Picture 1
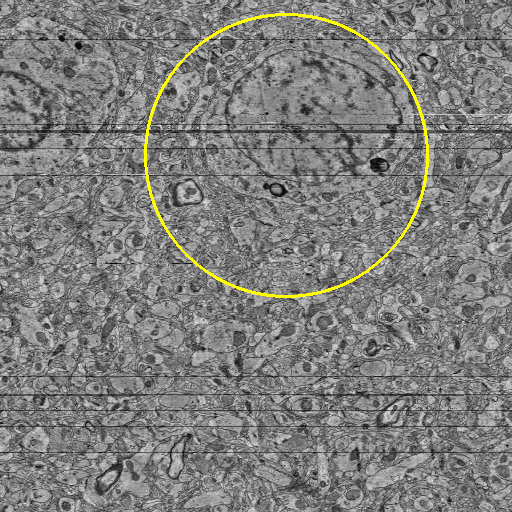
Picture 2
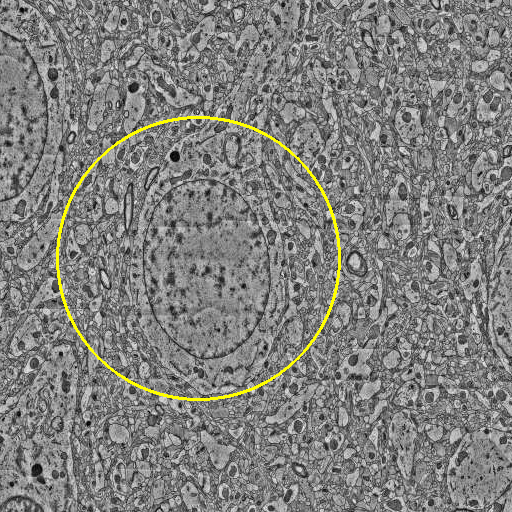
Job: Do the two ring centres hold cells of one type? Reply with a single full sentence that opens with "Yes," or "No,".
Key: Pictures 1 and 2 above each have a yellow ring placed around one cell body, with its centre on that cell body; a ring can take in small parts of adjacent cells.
Yes, the cells at the two ring centres are of one single type.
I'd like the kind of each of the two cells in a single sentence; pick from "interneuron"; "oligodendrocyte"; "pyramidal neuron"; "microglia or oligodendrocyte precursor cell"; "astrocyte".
The ring centre holds a pyramidal neuron in each of the two pictures.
